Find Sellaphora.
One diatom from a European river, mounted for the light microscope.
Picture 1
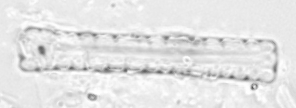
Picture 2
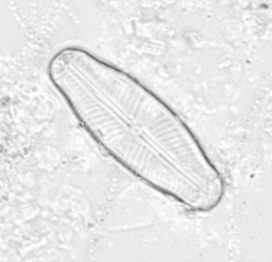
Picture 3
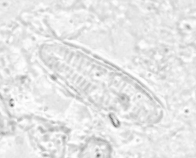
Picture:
2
